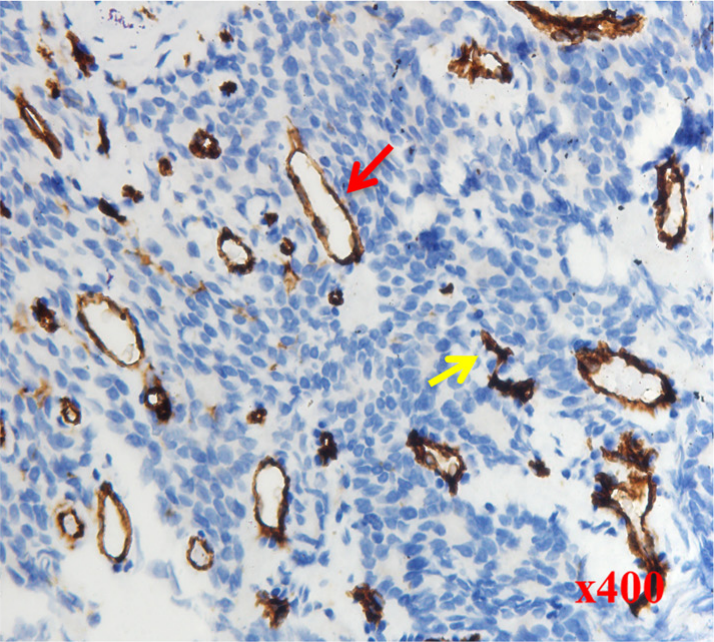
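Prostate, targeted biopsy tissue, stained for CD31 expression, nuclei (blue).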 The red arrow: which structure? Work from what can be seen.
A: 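The marked structure has a wide open lumen. A continuous brown-stained wall lines the lumen. It is an elongated oval, larger than most neighbouring brown structures.
Answer: relatively mature vessels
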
